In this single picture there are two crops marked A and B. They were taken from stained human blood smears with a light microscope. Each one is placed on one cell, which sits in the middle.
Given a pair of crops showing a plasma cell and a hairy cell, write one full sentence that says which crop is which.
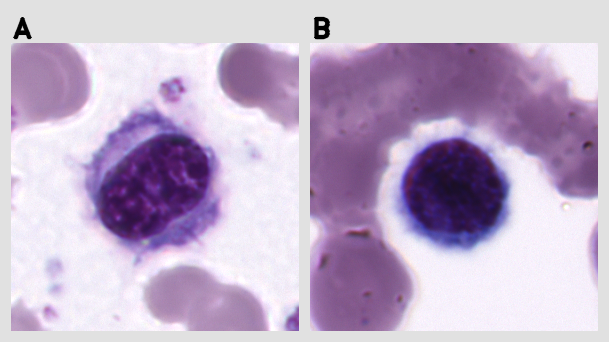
The cell in crop A is a plasma cell; the cell in crop B is a hairy cell.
